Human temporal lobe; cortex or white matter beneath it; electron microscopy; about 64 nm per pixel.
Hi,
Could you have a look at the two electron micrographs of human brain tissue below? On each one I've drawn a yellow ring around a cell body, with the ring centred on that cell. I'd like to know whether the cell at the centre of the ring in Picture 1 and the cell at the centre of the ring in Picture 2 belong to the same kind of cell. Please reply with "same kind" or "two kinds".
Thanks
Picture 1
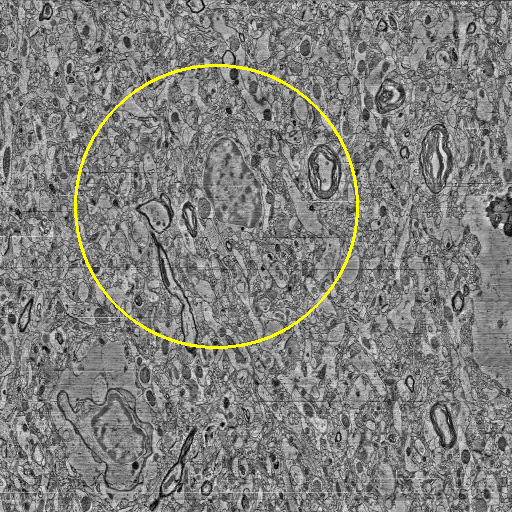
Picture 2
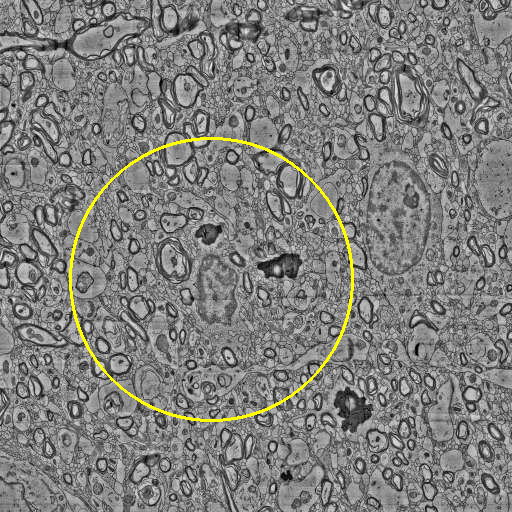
two kinds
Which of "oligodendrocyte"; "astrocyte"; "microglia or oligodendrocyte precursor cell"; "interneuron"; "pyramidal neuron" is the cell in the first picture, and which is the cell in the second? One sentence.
The two differ: the first cell is a microglial cell or oligodendrocyte precursor cell and the second is an oligodendrocyte.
